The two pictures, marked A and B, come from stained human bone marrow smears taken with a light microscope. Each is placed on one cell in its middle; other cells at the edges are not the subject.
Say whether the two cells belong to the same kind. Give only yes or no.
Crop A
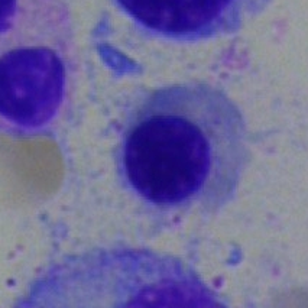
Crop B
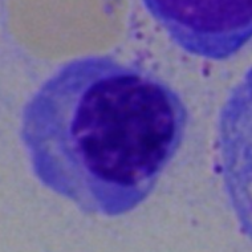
yes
